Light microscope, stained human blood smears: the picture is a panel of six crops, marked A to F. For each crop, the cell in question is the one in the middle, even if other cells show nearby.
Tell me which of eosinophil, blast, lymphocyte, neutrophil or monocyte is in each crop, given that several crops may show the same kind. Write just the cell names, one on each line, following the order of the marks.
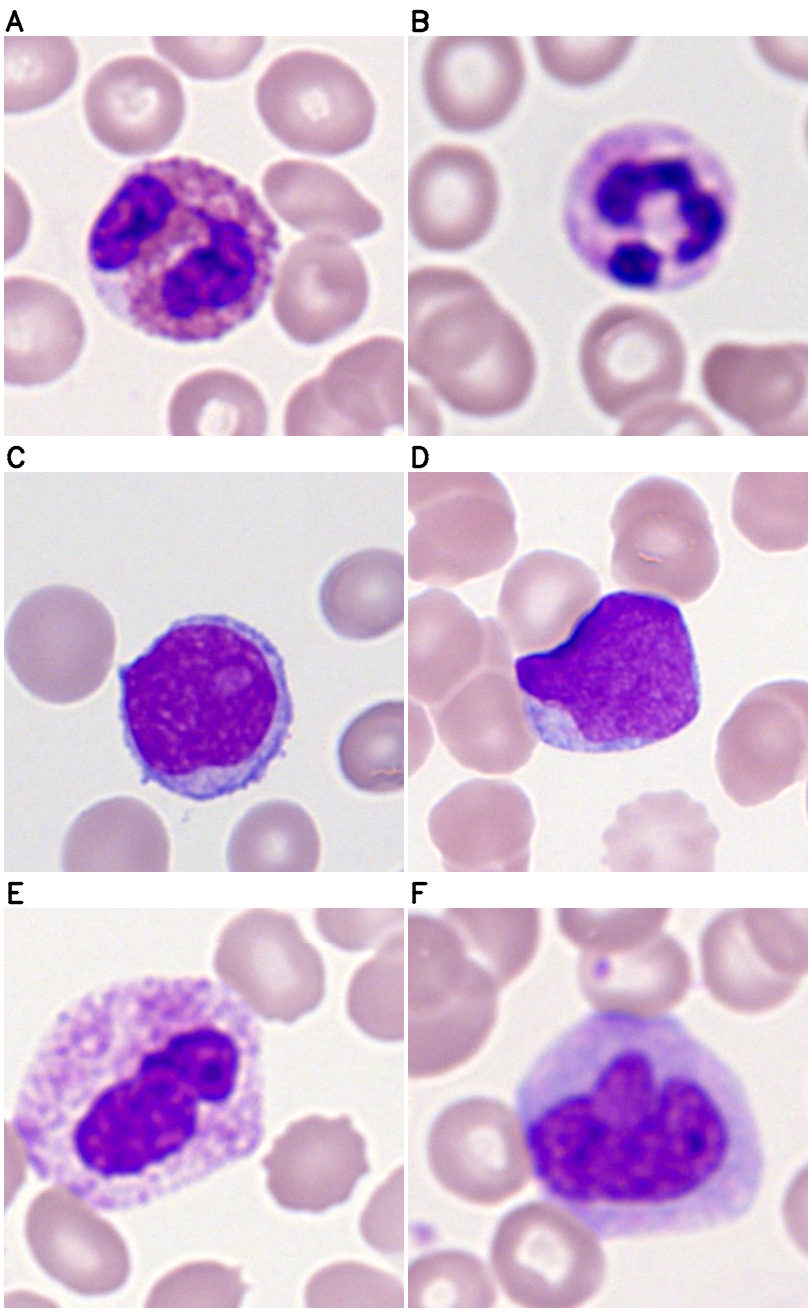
eosinophil
neutrophil
blast
blast
neutrophil
monocyte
